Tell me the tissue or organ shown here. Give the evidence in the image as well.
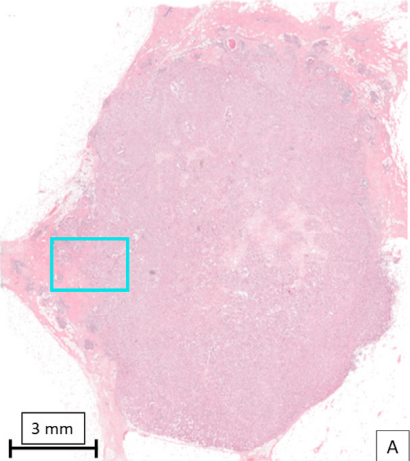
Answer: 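A large, rounded, densely cellular mass fills most of the section. Paler fibrous tissue surrounds the mass at its edges. So: tumour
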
